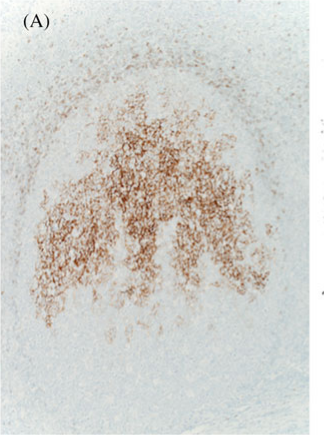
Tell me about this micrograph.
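The stain traces a fine, lace-like network of interlacing processes rather than individual round cells, denser towards the middle and breaking into columns towards the lower edge. Around it a paler band of small lymphoid cells forms a rim, and the surrounding tissue is blue-counterstained.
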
